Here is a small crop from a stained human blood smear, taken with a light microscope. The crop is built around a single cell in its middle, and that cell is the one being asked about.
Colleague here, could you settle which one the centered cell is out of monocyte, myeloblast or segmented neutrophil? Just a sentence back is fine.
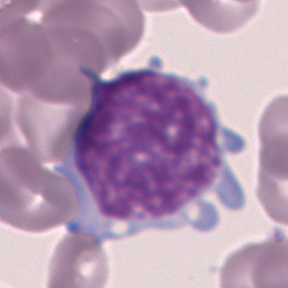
Framed in the middle of the crop is a myeloblast.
